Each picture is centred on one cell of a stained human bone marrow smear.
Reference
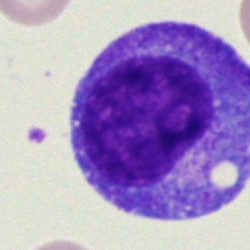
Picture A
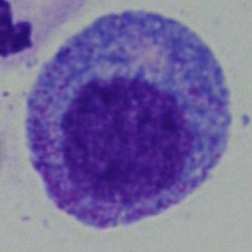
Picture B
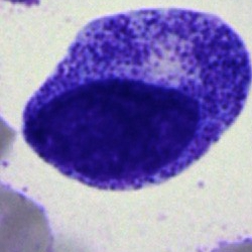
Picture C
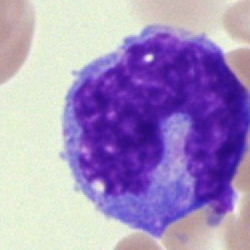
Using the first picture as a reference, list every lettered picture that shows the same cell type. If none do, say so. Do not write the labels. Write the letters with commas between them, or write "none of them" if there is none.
A, B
